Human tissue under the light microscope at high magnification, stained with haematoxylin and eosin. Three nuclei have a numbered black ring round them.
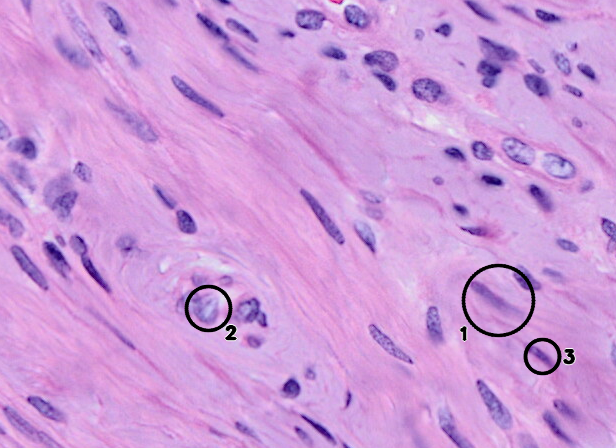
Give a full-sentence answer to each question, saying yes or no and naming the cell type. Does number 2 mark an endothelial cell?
Yes, the cell that goes by number 2 is an endothelial cell.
